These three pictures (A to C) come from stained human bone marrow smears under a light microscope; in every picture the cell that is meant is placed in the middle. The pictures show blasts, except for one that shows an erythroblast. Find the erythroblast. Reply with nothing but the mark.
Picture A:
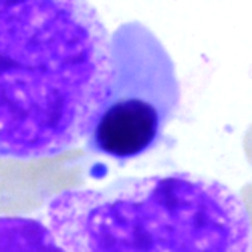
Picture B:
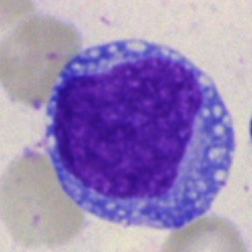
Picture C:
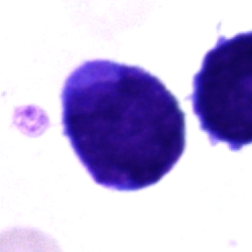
A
